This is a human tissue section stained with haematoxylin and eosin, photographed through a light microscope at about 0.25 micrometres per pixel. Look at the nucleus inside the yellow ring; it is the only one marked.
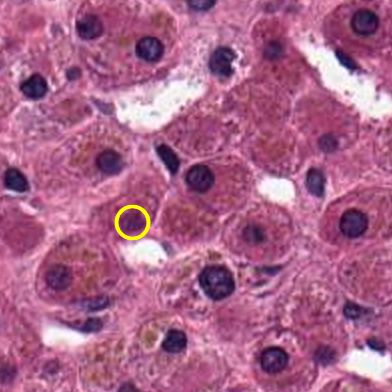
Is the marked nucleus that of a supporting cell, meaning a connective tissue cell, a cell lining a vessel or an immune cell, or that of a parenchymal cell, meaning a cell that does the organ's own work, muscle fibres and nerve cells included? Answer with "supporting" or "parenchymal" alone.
parenchymal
